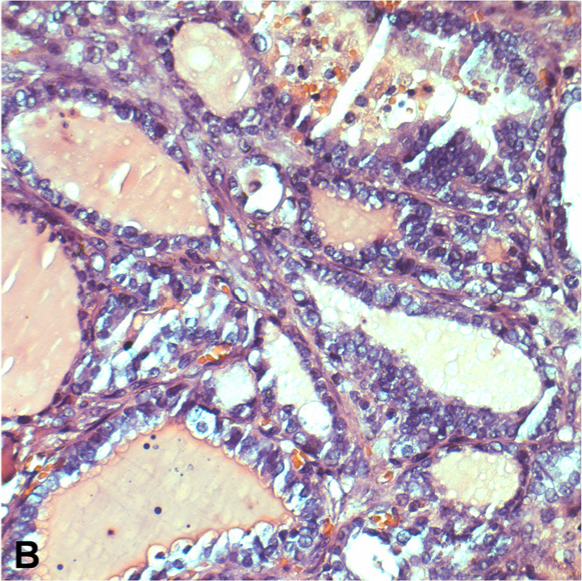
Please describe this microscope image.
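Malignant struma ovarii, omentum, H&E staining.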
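This field shows rounded and elongated follicle-like spaces filled with pink, homogeneous colloid-like material, each lined by a layer of cuboidal to low columnar epithelial cells. The nuclei of the lining cells are oval, crowded and in places overlap one another, and many look pale rather than dark. Thin strands of pink fibrous stroma separate the follicles. Small clusters of orange-brown pigment and red cells lie in the stroma near the top of the field.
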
